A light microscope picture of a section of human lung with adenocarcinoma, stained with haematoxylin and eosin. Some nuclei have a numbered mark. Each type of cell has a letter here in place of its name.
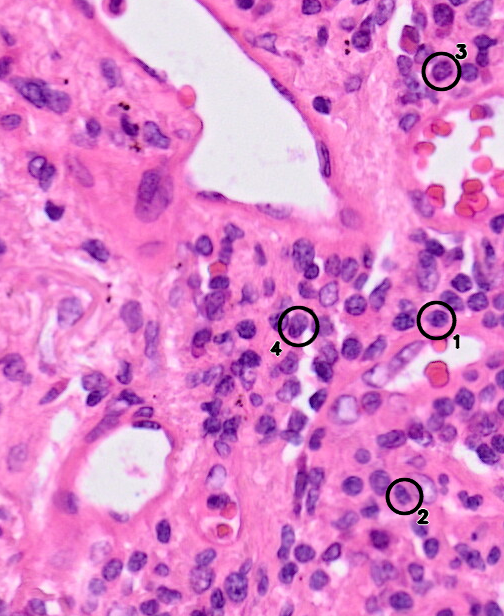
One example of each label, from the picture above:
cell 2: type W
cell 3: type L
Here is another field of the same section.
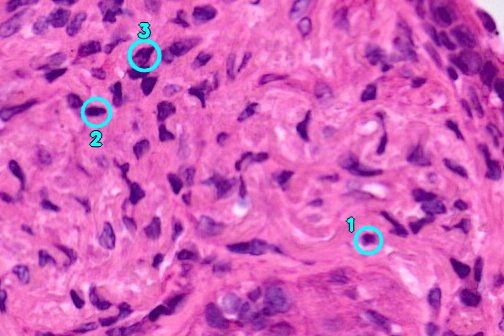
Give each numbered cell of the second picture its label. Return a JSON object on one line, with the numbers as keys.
{"1": "type W", "2": "type W", "3": "type L"}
